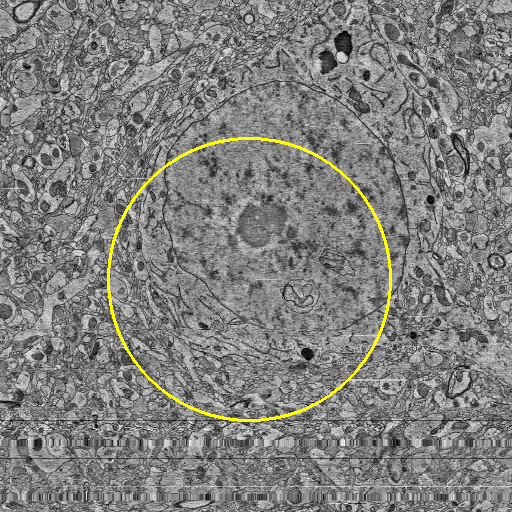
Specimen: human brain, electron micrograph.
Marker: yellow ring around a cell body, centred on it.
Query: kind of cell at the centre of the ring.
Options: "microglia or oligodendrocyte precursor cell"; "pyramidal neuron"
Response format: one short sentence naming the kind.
This cell body belongs to a pyramidal neuron.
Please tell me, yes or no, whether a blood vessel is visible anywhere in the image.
No, there is no blood vessel in the image.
